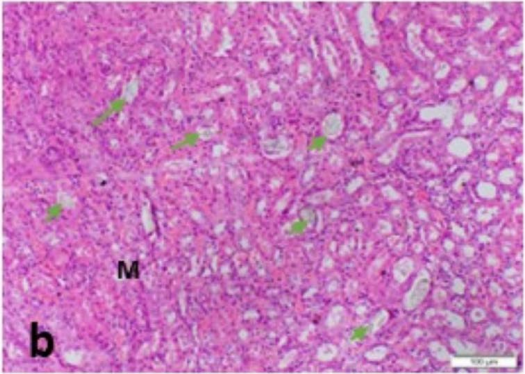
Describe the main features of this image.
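Kidney tissue stained pink and purple, with tubules cut across and lengthwise, many of them holding pale grey, glassy material in their lumens, marked by arrows. These deposits fill the tubular spaces and look translucent against the pink epithelium lining them. The tissue between tubules looks crowded with small purple nuclei in places. The widespread glassy material inside the tubules is crystal deposition within the renal tubules.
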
